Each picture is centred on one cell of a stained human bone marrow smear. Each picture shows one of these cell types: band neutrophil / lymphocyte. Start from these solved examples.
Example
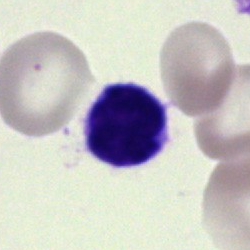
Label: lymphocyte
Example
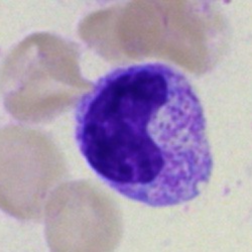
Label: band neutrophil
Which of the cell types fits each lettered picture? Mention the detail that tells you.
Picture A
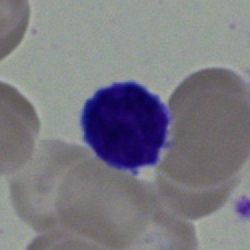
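Label: lymphocyte. The dark nucleus fills almost the whole cell.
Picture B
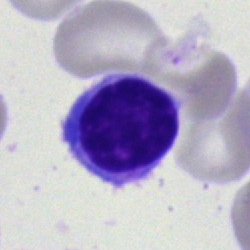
Label: lymphocyte. The cytoplasm forms only a narrow rim around the nucleus.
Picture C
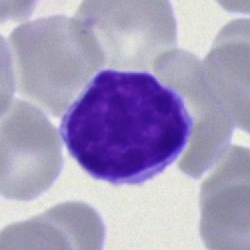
Label: lymphocyte. Cytoplasm is very scant, seen only as a thin pale rim at the edge.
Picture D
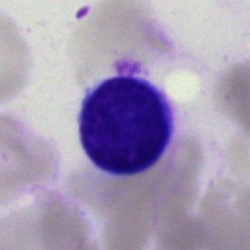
Label: lymphocyte. Cytoplasm is scant, at most a thin rim around the nucleus.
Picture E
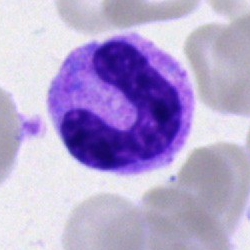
Label: band neutrophil. The nucleus is a thick curved band bent into a U shape that opens toward the left.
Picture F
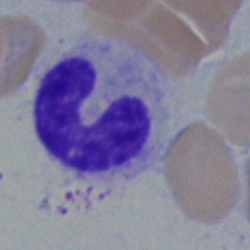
Label: band neutrophil. The nucleus is horseshoe-shaped, with a deep indentation opening on its upper side.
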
